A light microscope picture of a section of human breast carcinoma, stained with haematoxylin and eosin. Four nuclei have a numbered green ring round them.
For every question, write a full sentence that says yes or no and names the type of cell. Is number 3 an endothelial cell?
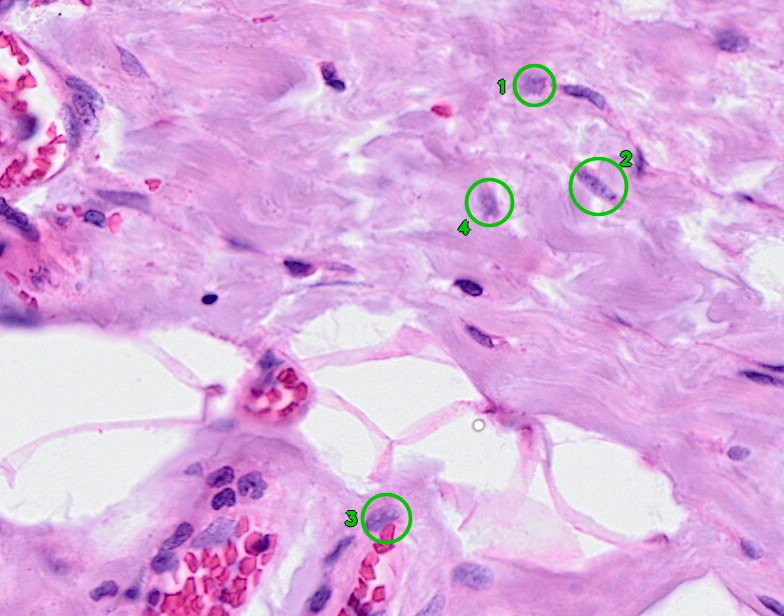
Yes, number 3 is assigned to a cell that is an endothelial cell.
